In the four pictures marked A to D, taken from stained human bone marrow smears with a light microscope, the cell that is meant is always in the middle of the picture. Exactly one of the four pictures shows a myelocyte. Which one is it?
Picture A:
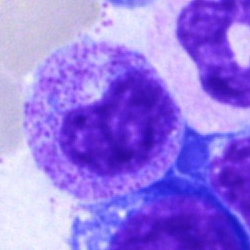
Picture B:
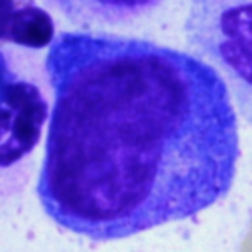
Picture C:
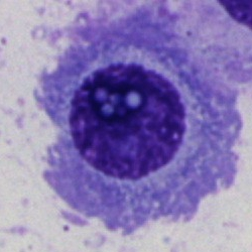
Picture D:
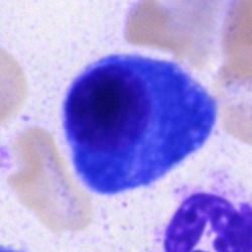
A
